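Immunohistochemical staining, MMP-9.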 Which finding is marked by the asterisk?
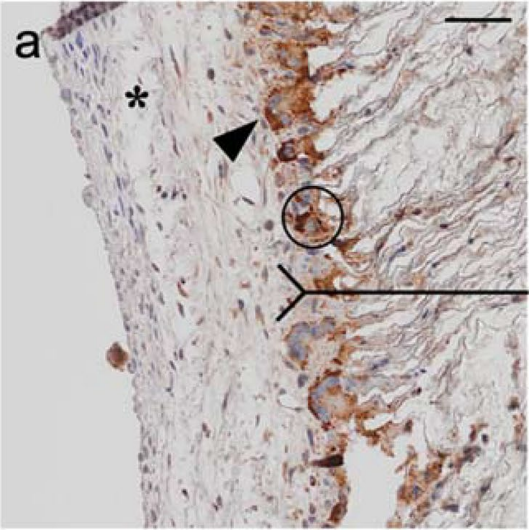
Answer: Neointimal hyperplasia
